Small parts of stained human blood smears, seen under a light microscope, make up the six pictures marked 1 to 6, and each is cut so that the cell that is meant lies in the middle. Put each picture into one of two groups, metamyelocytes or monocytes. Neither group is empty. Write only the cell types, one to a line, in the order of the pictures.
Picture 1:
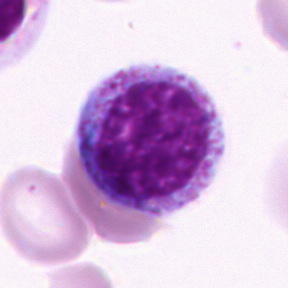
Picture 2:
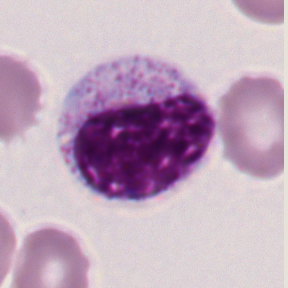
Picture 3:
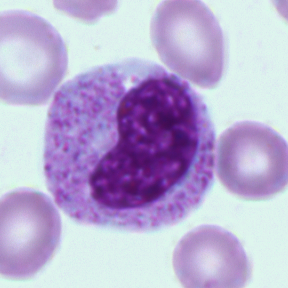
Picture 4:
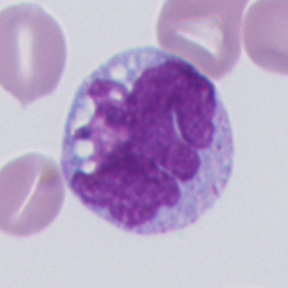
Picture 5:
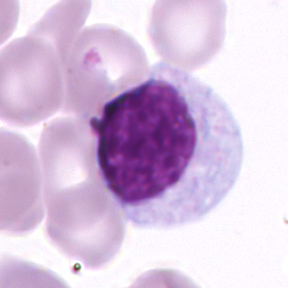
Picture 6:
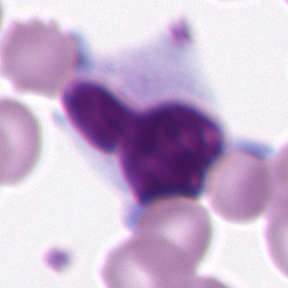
metamyelocyte
metamyelocyte
metamyelocyte
monocyte
metamyelocyte
monocyte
